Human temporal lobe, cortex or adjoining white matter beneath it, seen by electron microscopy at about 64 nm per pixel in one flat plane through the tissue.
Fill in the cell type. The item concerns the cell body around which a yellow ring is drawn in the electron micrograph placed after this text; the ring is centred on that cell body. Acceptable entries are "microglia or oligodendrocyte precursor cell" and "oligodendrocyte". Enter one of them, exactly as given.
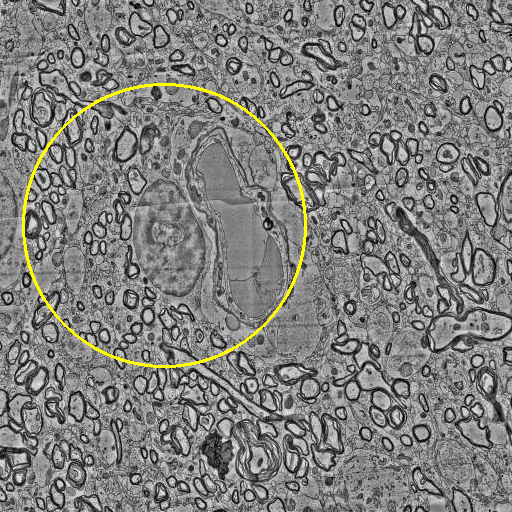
oligodendrocyte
